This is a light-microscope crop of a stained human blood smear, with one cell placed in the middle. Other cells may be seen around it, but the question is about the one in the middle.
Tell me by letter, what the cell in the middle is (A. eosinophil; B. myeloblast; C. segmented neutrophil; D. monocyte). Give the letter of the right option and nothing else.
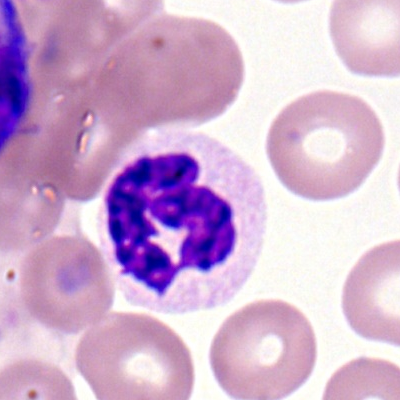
C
